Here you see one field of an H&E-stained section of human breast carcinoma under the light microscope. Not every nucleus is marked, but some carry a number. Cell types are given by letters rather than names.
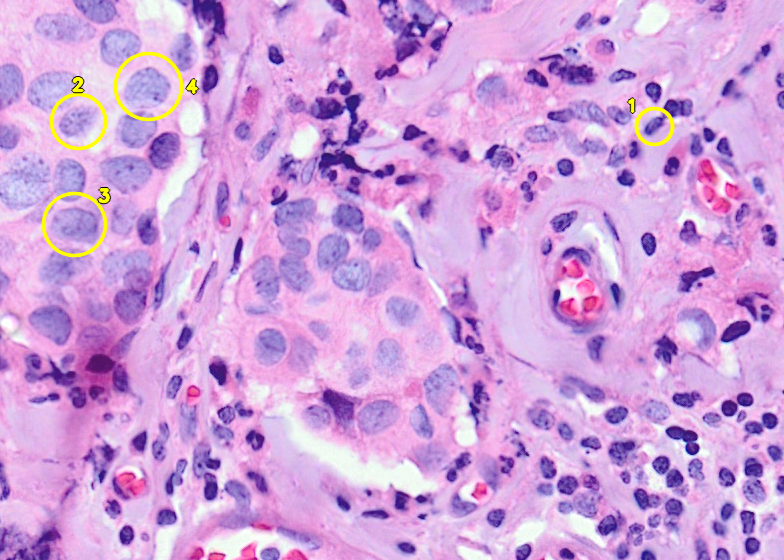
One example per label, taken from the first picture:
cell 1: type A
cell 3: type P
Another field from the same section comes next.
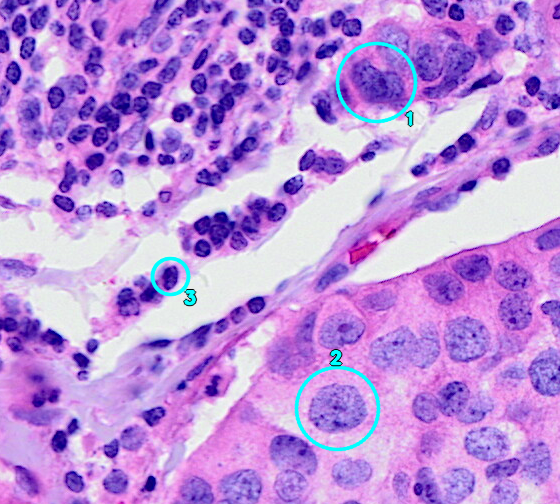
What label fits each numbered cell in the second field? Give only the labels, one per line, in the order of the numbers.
type P
type P
type A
